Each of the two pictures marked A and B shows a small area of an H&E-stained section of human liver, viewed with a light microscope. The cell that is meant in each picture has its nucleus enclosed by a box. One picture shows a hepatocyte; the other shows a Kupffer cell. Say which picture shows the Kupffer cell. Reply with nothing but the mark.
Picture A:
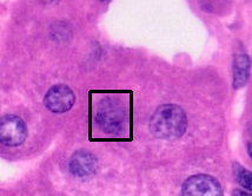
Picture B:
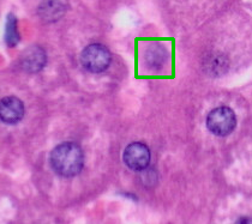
B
